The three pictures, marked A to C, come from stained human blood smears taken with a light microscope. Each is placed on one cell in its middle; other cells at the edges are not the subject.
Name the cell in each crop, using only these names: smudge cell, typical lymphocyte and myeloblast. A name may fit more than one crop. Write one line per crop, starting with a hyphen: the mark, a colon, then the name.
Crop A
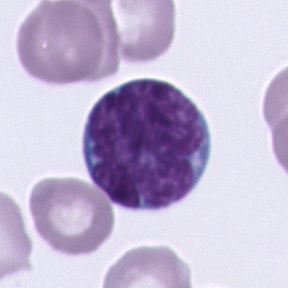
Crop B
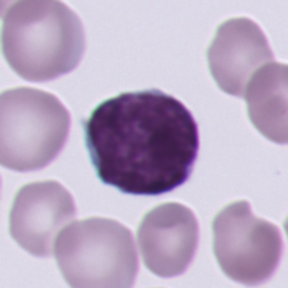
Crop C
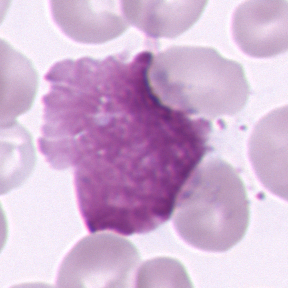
- A: myeloblast
- B: typical lymphocyte
- C: smudge cell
